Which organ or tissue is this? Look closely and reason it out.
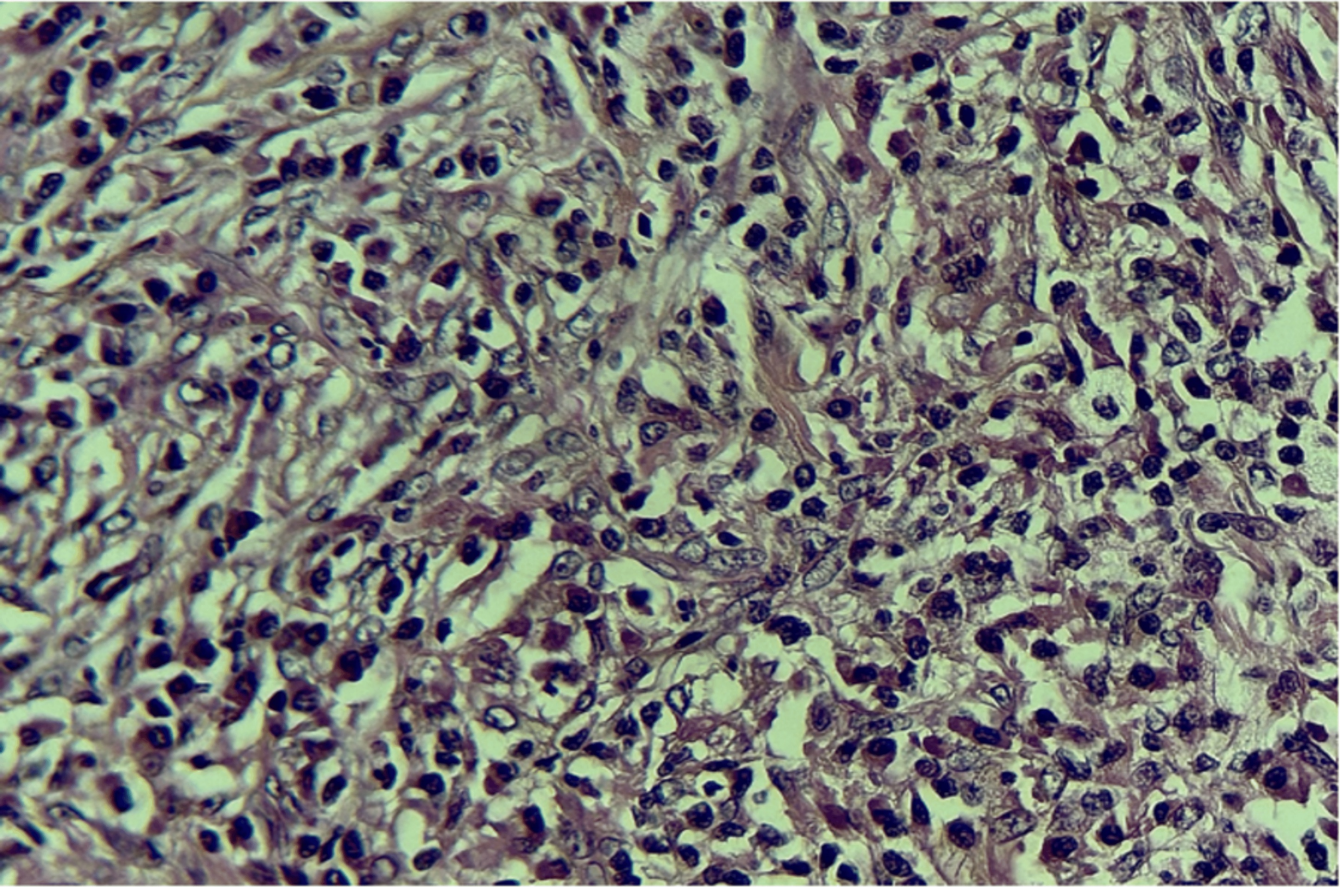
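Fine fibrillar strands run between the cells. Small dark round inflammatory-type nuclei are mixed throughout the background.
Fibro-inflammatory.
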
